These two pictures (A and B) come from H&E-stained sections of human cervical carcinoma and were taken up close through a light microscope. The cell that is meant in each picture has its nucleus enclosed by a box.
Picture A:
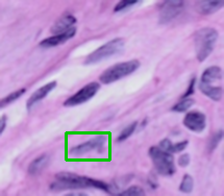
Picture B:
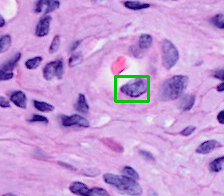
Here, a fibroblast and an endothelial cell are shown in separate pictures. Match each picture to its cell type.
A: fibroblast
B: endothelial cell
